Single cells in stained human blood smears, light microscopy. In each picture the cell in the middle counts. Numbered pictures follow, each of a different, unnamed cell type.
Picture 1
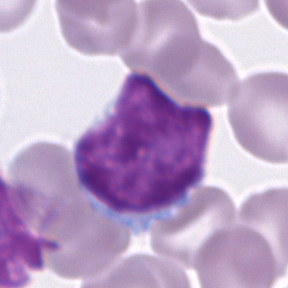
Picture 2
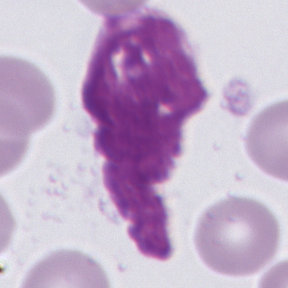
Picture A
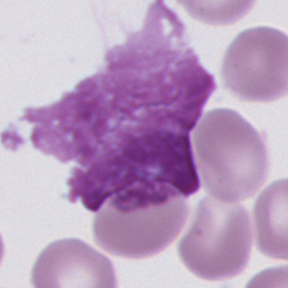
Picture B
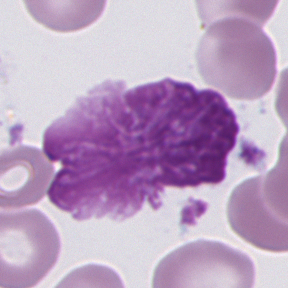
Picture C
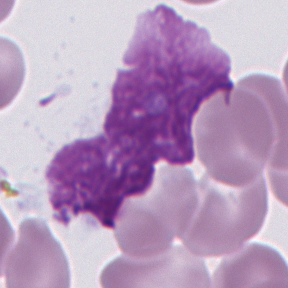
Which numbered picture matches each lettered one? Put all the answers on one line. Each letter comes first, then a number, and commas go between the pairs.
A 2, B 2, C 2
